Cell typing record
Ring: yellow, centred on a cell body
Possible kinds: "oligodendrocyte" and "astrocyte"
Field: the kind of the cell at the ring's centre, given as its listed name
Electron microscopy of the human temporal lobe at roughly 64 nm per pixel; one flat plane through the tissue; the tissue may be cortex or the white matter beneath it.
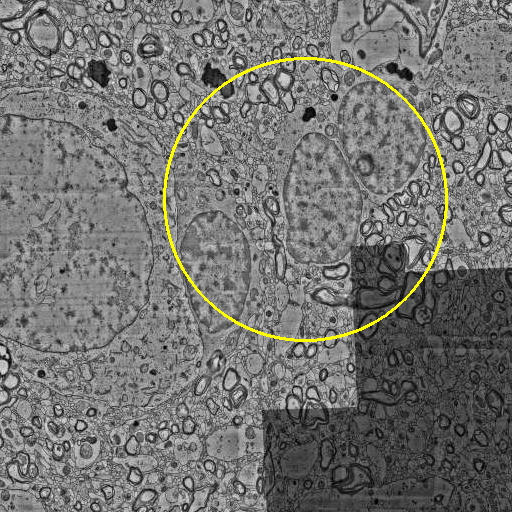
oligodendrocyte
